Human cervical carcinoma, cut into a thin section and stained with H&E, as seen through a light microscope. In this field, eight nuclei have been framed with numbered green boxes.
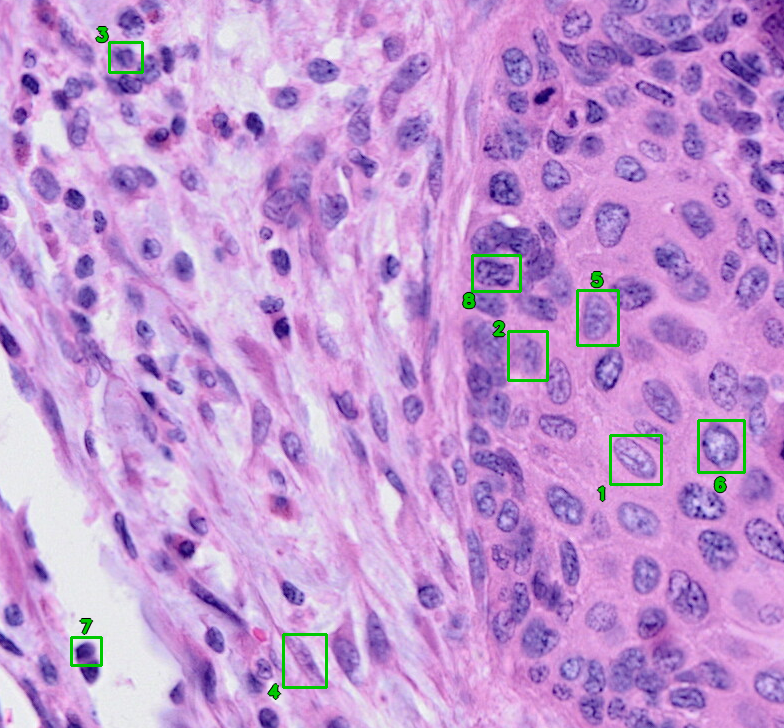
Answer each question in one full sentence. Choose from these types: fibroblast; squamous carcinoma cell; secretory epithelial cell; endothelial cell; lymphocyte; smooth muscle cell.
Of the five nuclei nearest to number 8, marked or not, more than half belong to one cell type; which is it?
Around number 8, most of the five nearest nuclei are those of squamous carcinoma cells.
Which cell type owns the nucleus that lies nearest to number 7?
Closest to number 7 lies the nucleus of a lymphocyte.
